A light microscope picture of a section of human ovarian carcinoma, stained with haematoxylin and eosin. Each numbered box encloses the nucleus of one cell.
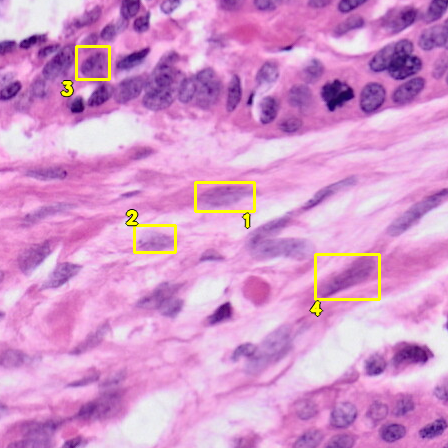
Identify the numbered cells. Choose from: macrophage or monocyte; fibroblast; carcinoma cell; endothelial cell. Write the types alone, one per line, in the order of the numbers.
fibroblast
fibroblast
carcinoma cell
fibroblast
